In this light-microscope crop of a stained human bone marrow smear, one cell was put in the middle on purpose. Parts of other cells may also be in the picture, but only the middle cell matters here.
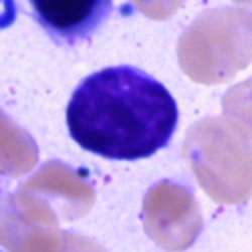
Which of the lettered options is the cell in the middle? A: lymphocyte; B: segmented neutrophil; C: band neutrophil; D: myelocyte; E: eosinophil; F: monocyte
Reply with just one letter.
A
